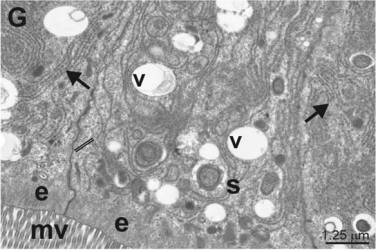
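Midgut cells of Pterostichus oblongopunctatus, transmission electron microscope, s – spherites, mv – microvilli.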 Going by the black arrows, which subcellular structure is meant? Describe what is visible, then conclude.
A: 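Endoplasmatic reticulum membranes. The arrows point to long parallel membrane profiles in the cytoplasm.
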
